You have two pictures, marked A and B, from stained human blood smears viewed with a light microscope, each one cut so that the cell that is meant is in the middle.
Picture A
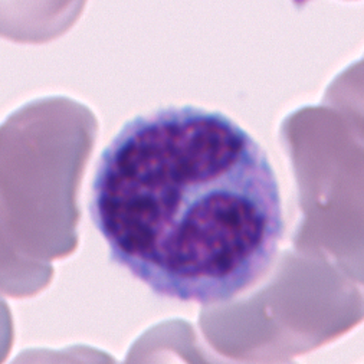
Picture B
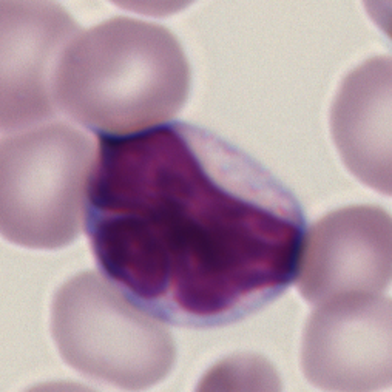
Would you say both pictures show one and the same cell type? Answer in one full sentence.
No, they differ: the cell is a monocyte in picture A and a large granular lymphocyte in picture B.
